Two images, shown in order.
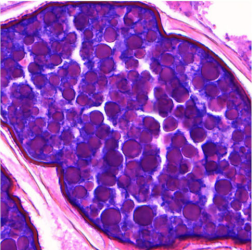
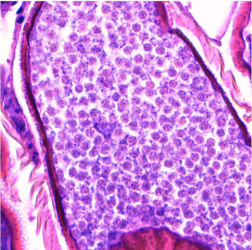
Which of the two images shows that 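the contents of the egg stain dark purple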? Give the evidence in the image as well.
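The first image. Second image: the egg contents are pale pink-lilac with many small, evenly packed rounded bodies. First image: the egg contents are deep purple with larger, irregularly sized rounded granules separated by pale gaps.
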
